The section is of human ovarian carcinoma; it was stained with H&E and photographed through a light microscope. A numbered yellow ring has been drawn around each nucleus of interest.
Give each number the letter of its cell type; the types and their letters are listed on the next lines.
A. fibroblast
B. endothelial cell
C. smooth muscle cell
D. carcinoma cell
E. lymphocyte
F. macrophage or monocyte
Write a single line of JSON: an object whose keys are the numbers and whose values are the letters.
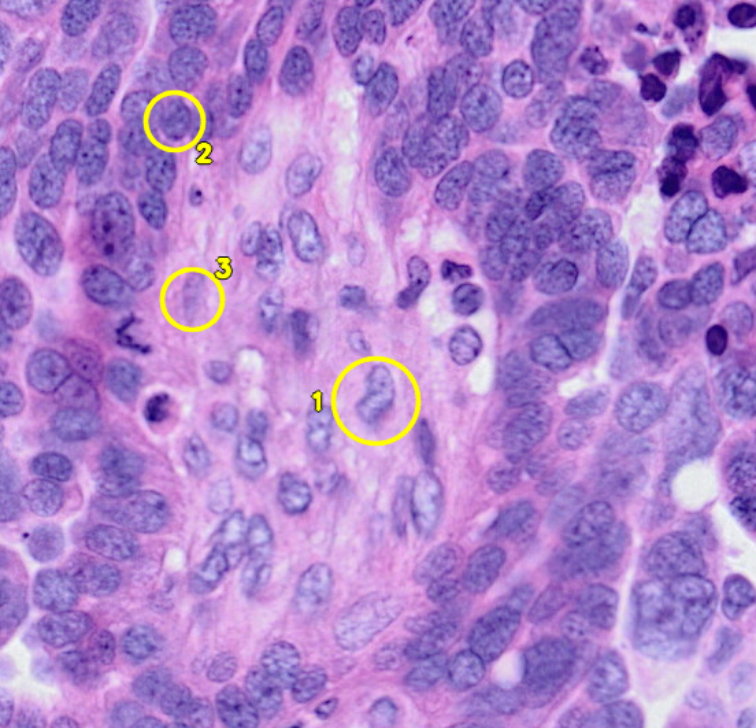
{"1": "A", "2": "D", "3": "A"}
